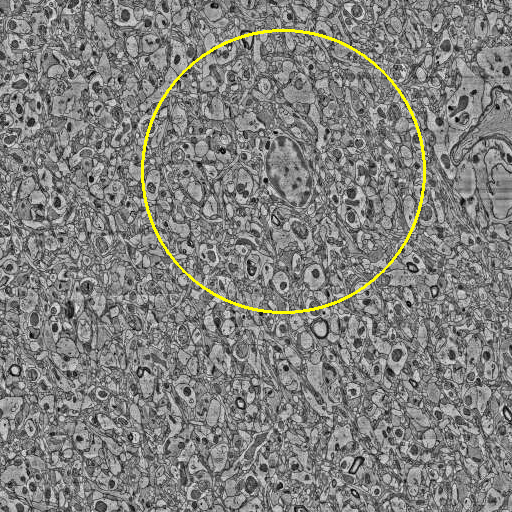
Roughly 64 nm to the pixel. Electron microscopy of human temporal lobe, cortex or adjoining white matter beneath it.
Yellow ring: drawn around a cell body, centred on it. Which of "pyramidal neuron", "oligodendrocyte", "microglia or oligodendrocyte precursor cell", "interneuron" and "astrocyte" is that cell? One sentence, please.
That cell body is from a microglial cell or oligodendrocyte precursor cell.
